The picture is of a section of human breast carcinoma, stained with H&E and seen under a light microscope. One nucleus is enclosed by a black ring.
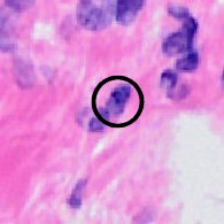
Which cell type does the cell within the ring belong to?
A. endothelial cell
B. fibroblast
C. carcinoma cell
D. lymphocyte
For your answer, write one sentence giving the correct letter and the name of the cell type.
Option D is correct in that the cell within the ring is a lymphocyte.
